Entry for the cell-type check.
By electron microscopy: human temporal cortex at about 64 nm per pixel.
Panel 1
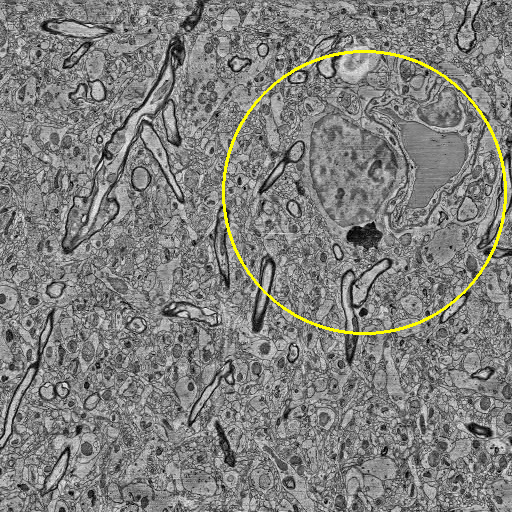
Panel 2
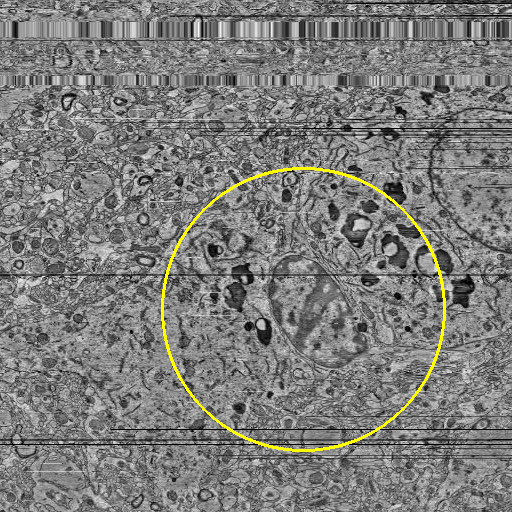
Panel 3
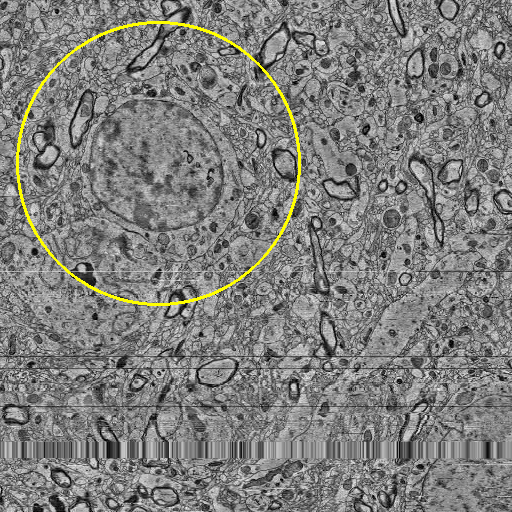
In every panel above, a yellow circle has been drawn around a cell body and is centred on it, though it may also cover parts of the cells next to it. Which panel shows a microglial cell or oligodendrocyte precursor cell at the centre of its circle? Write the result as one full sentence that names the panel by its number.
Panel 2 shows it at the centre of its circle.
